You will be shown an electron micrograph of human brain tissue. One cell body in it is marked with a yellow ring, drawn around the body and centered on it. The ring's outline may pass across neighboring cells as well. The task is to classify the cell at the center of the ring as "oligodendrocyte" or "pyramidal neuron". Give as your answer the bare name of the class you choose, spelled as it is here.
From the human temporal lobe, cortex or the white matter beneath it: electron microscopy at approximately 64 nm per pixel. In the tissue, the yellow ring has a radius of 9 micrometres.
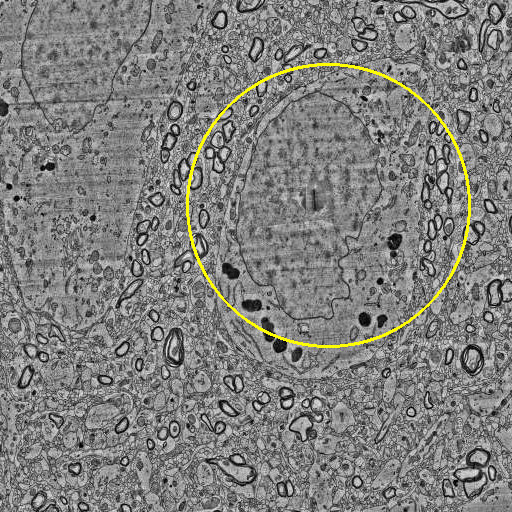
pyramidal neuron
